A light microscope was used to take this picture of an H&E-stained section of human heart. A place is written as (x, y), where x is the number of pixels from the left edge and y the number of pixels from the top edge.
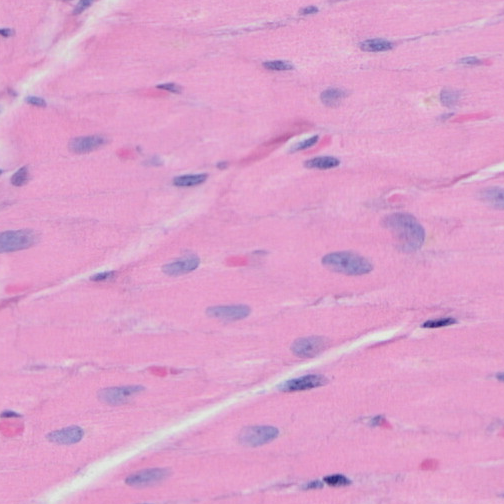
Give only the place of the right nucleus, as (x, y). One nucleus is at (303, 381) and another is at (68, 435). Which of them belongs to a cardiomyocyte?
(68, 435)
